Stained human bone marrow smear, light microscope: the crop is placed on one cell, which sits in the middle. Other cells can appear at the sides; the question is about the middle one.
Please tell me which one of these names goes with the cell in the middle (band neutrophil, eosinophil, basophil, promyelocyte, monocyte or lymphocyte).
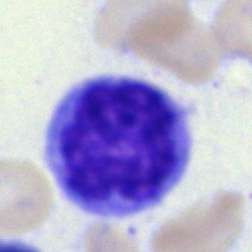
monocyte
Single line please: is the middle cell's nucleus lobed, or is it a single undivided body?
In this cell the nucleus is a solitary compact mass, round, oval or kidney-shaped.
